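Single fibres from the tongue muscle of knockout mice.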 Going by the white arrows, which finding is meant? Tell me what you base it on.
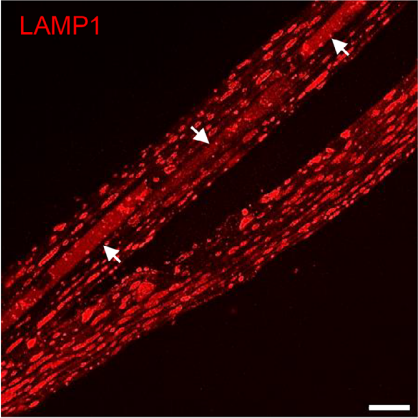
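Areas of autophagic buildup. Arrows point to elongated zones of hazy, diffuse red staining in the fibre core. These zones lack the discrete outlined dots seen elsewhere.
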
